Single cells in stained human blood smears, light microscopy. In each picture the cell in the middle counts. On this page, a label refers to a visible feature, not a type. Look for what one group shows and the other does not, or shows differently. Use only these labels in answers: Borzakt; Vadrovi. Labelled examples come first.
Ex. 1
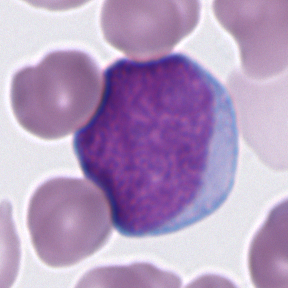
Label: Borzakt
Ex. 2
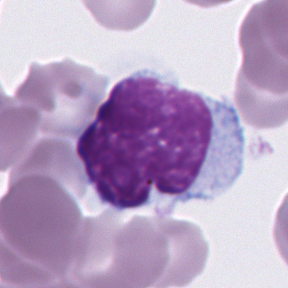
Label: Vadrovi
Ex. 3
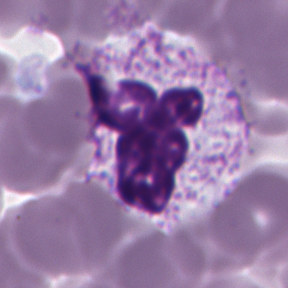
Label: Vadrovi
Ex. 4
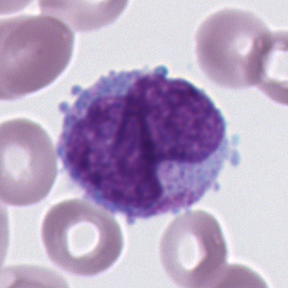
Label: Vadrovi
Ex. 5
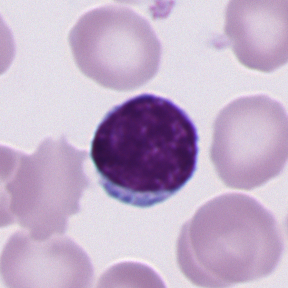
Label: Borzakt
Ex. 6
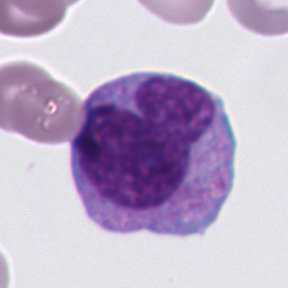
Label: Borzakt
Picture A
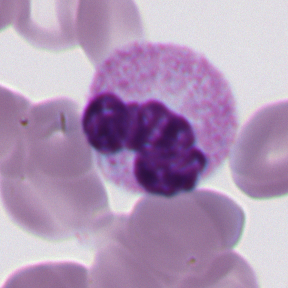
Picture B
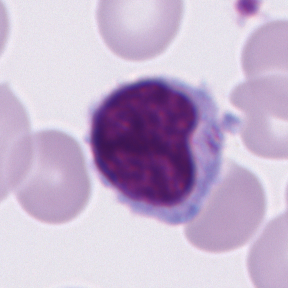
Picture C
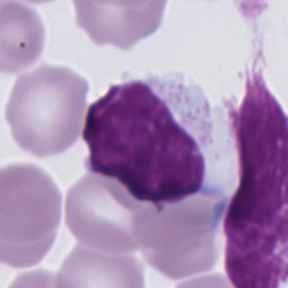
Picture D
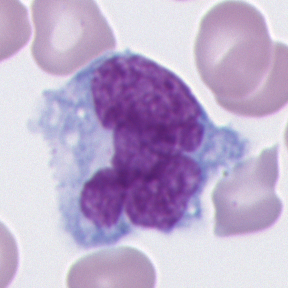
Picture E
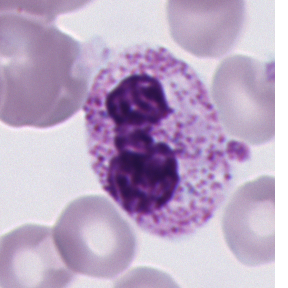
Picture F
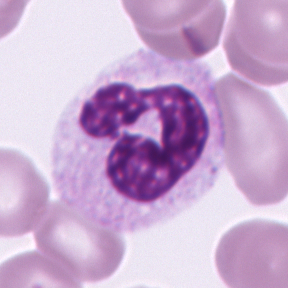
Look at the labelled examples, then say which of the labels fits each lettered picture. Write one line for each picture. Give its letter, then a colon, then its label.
A: Borzakt
B: Vadrovi
C: Vadrovi
D: Vadrovi
E: Vadrovi
F: Borzakt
